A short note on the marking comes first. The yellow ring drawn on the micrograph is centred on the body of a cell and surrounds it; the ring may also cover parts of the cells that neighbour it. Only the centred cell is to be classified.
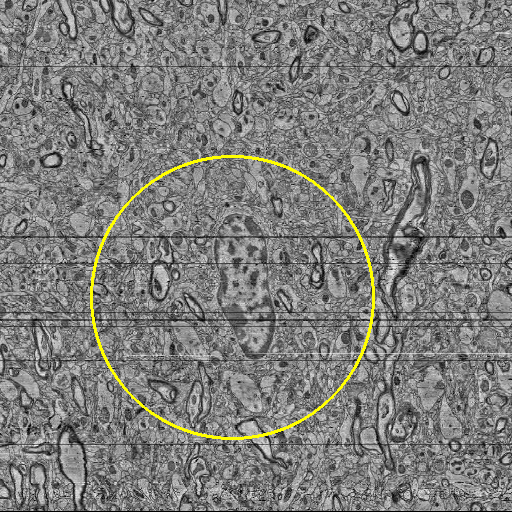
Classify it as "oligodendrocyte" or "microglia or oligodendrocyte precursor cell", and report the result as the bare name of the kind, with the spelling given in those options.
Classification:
microglia or oligodendrocyte precursor cell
